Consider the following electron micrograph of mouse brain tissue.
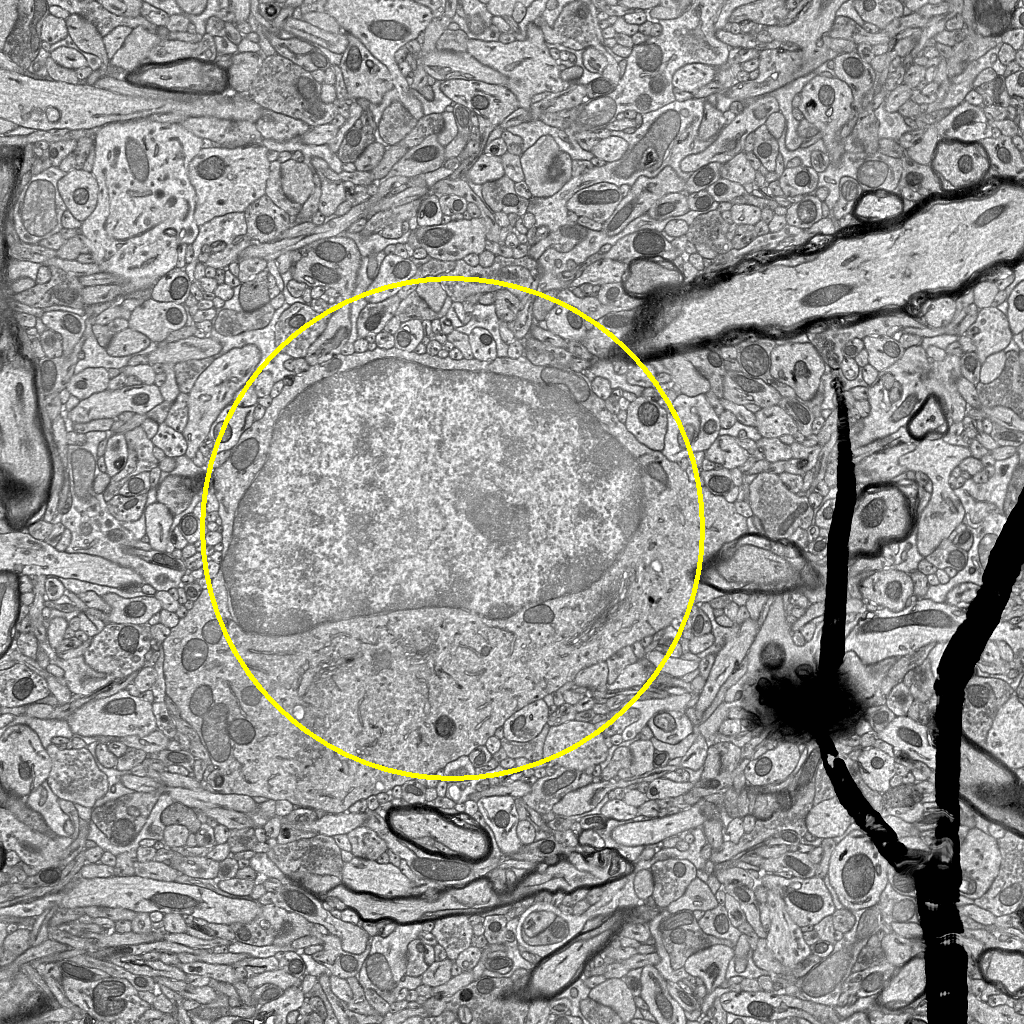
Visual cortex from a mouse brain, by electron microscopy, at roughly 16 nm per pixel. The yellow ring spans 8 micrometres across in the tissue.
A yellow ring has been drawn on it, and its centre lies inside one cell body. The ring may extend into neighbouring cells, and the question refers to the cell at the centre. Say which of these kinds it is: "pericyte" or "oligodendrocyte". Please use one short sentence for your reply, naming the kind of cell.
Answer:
The centre of the ring falls on an oligodendrocyte.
